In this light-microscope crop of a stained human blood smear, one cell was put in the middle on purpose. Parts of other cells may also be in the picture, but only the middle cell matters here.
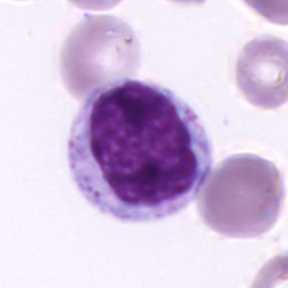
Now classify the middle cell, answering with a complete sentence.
In the central position of this crop, the cell is a metamyelocyte.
